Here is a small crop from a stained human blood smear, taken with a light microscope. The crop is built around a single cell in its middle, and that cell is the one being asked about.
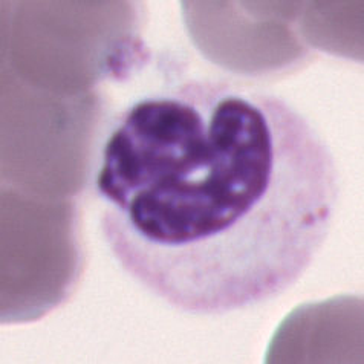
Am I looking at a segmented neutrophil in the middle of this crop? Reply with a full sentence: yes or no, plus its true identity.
Yes, the middle cell here is a segmented neutrophil.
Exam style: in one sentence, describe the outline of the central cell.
In short, the margin is smooth with no projections at all.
